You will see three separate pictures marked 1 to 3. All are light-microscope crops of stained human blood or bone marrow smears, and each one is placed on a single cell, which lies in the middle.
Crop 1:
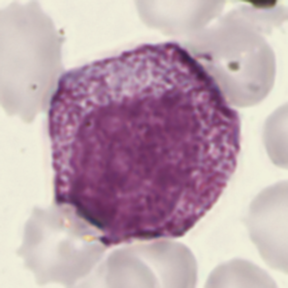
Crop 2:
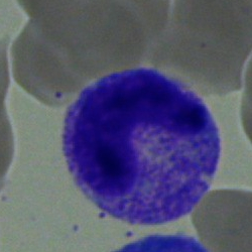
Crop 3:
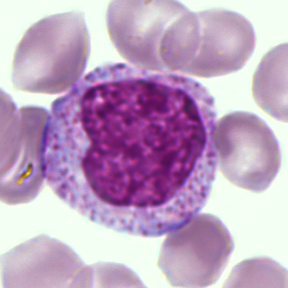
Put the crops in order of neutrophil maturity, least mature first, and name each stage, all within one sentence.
Ordered by maturity, from least to most, the crops are crop 1 (a promyelocyte), crop 3 (a myelocyte) and crop 2 (a band neutrophil).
